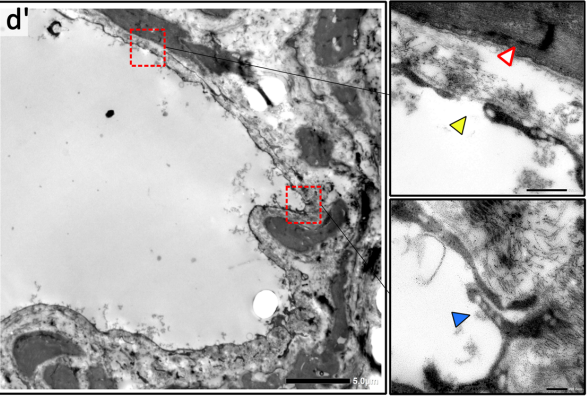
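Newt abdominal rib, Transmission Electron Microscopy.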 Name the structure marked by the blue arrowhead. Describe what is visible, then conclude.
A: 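The arrowhead points to a thin membrane flap that overlaps a neighbouring thin cell edge at the lumen border. So: overlapping leaf-like endothelial cell junctions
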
